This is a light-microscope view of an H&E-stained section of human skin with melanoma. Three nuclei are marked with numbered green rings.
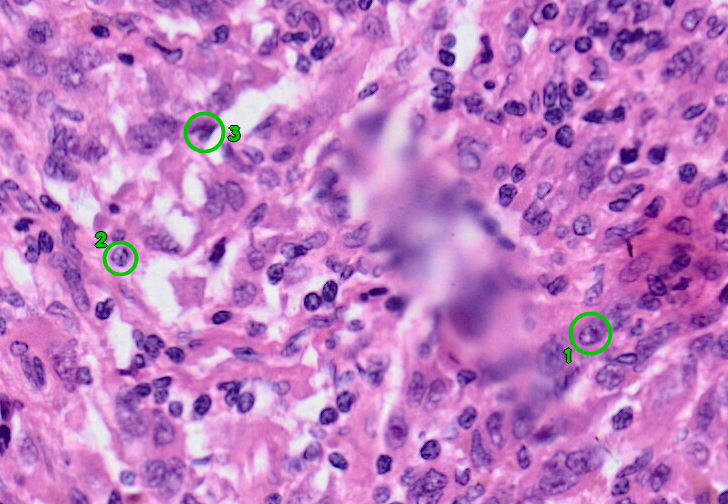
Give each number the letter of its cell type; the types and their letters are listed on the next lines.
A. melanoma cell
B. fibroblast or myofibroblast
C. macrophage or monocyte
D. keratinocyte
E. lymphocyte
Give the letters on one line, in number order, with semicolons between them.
A; E; A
